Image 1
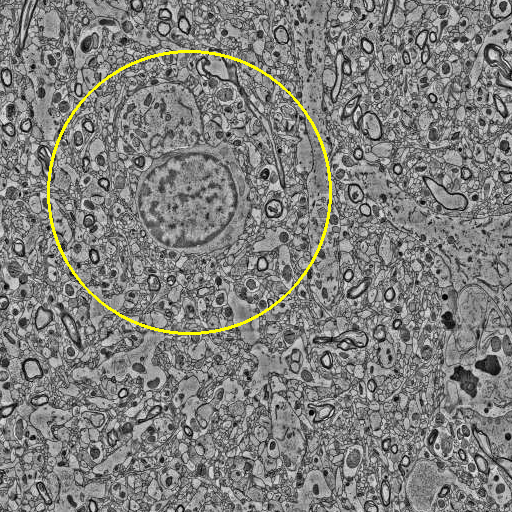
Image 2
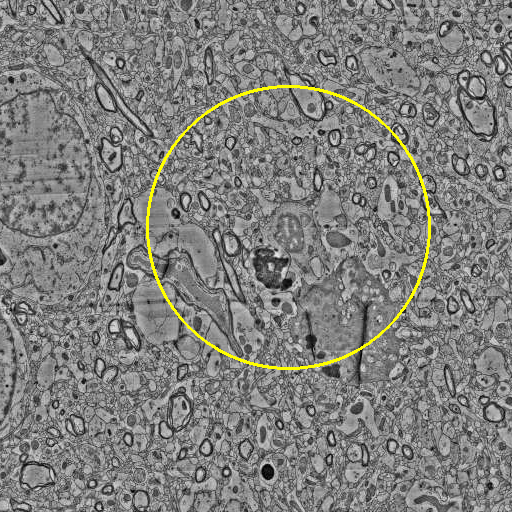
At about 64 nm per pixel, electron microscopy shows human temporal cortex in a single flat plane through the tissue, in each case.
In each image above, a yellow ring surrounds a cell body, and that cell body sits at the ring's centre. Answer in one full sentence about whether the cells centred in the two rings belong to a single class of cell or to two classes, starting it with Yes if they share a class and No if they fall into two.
Yes, the cells centred in the two yellow rings belong to a single class of cell.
